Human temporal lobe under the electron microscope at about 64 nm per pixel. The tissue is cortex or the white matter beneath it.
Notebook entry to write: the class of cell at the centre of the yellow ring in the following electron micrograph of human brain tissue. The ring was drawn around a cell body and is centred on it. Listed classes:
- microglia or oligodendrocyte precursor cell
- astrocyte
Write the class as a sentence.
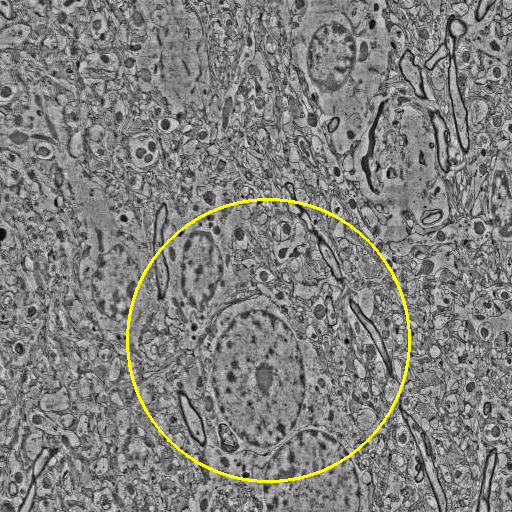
The yellow ring sits on an astrocyte.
